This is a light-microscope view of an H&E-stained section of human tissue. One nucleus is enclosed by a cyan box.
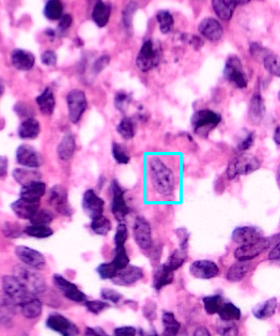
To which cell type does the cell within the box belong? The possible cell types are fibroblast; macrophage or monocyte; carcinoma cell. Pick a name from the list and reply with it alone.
macrophage or monocyte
